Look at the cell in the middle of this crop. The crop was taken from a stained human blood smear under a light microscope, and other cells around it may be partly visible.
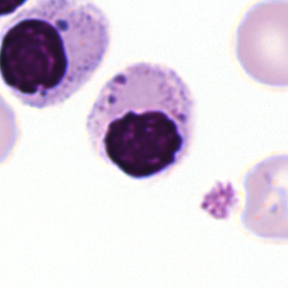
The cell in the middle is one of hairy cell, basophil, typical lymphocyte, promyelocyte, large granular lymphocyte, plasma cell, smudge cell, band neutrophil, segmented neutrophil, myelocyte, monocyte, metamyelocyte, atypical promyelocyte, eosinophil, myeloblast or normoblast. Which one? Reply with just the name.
normoblast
